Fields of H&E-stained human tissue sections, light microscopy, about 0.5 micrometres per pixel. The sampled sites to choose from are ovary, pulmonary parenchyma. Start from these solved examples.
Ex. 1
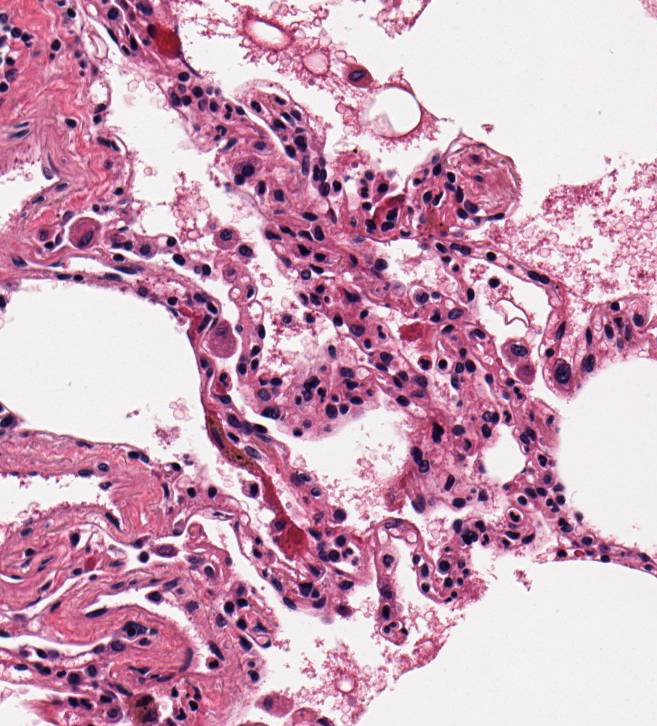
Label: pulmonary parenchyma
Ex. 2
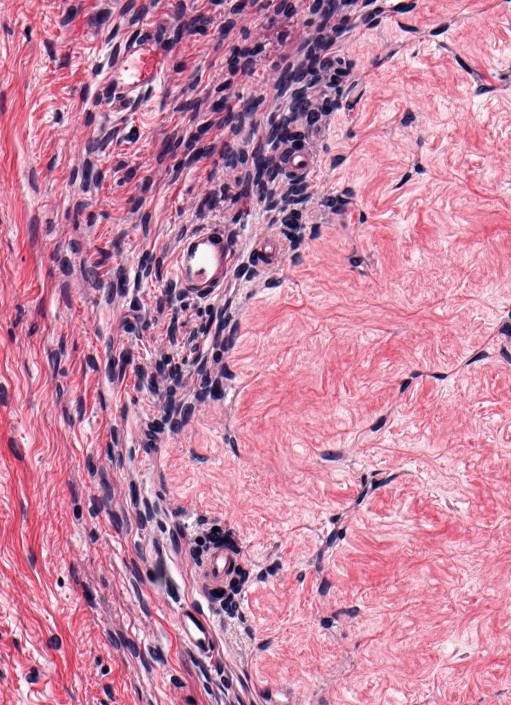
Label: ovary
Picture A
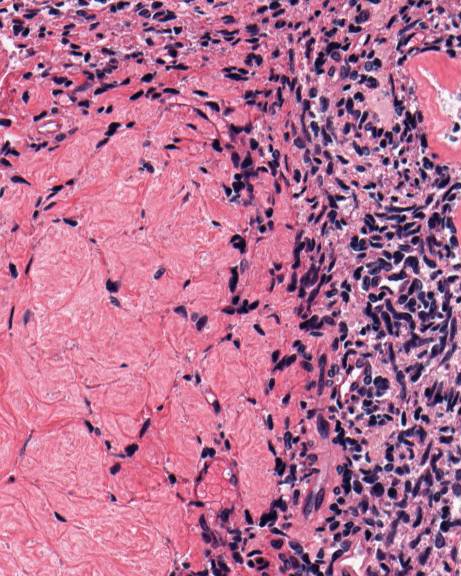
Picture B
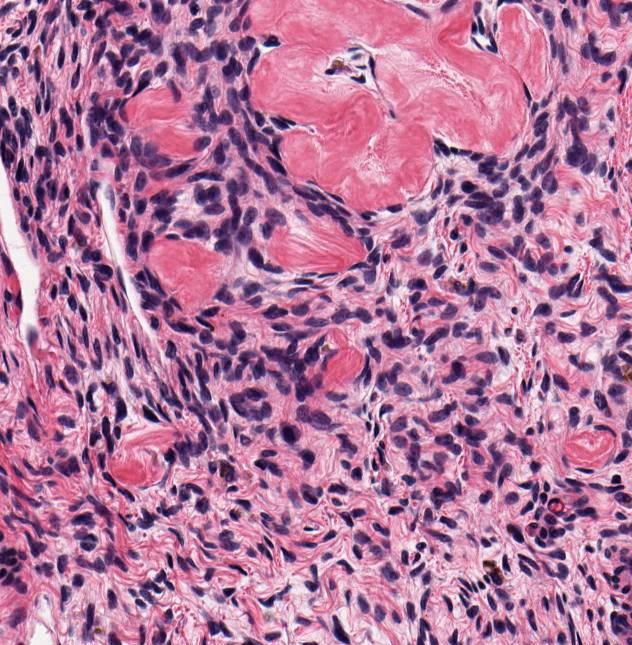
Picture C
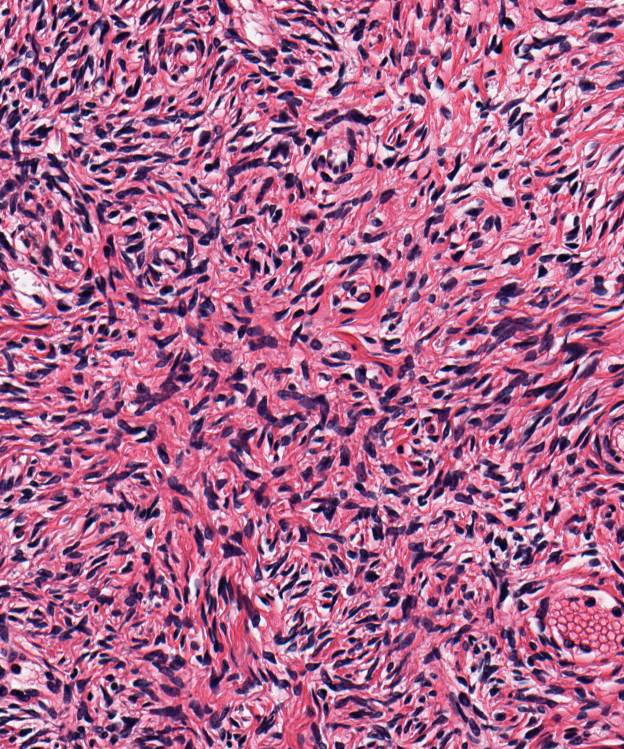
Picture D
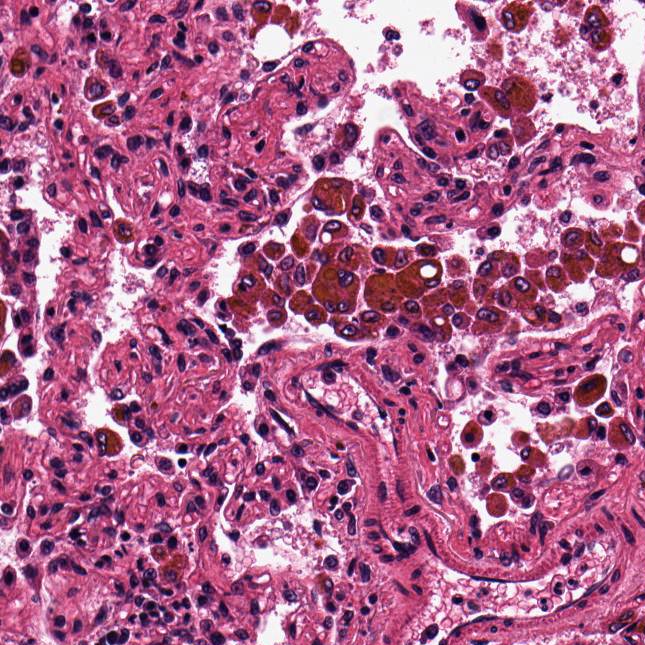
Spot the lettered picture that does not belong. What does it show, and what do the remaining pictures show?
Picture D: pulmonary parenchyma. All others: ovary.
